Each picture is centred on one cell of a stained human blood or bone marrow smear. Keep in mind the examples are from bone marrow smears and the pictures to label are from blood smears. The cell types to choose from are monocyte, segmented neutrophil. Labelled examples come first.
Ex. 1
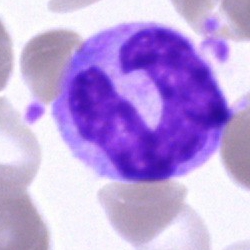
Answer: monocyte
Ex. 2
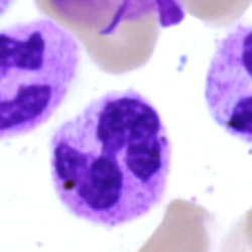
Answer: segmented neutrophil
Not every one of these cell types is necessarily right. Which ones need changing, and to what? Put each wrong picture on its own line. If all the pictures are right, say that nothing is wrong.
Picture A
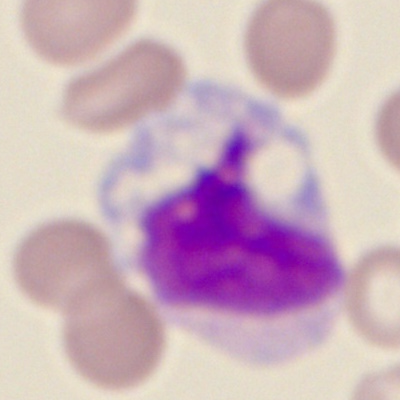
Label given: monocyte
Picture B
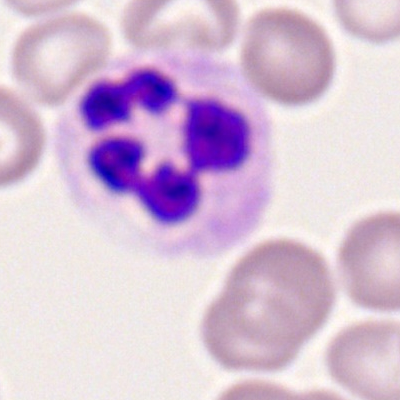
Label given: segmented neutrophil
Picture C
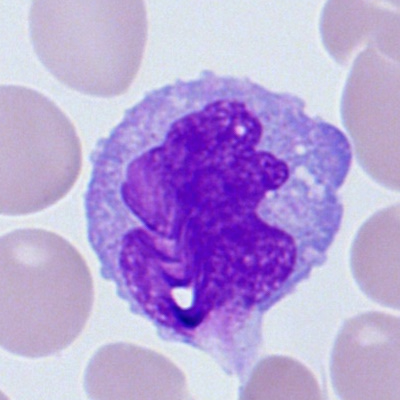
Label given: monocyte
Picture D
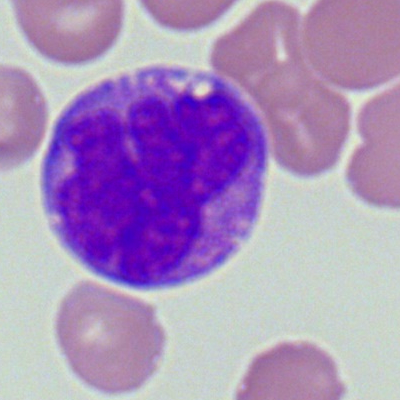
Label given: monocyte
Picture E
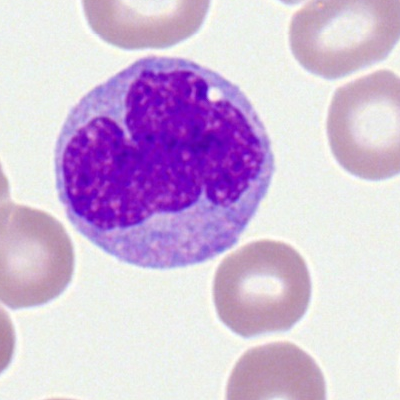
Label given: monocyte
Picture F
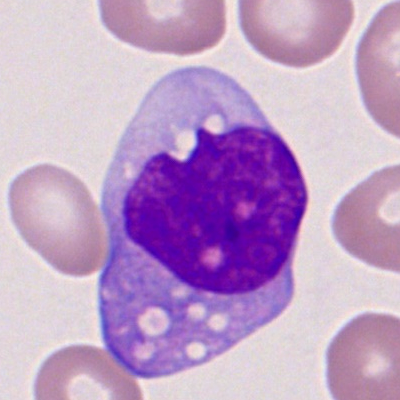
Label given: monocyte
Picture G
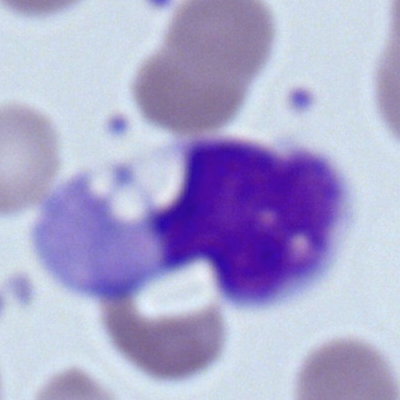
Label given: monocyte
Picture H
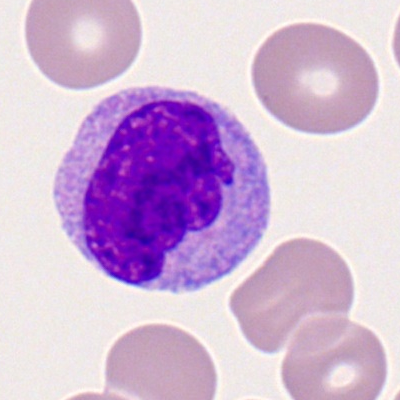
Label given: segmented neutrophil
Wrong: H (segmented neutrophil); correct: monocyte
